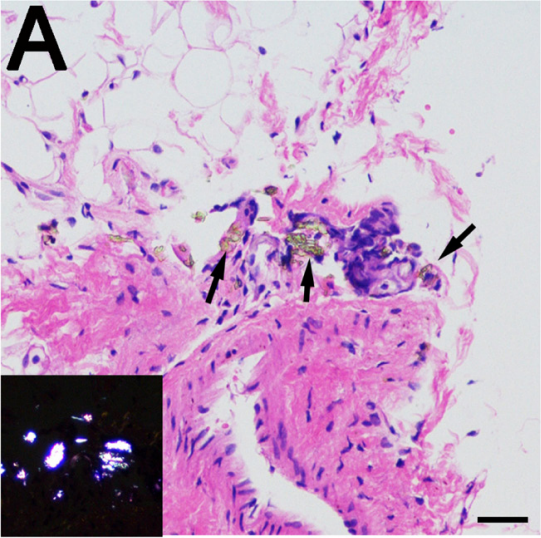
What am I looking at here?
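Pink fibrous connective tissue with elongated spindle-shaped nuclei runs across the field, with empty rounded fat cells in the upper part. In the middle lie clusters of yellow-brown refractile fragments beside a small compact group of dark purple cells.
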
